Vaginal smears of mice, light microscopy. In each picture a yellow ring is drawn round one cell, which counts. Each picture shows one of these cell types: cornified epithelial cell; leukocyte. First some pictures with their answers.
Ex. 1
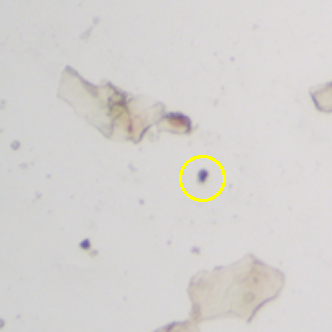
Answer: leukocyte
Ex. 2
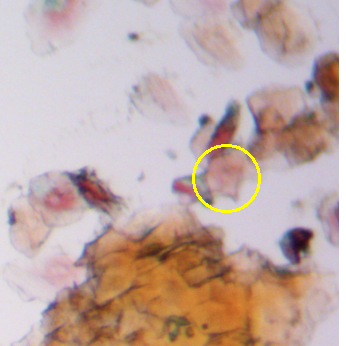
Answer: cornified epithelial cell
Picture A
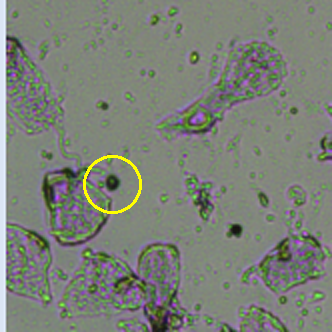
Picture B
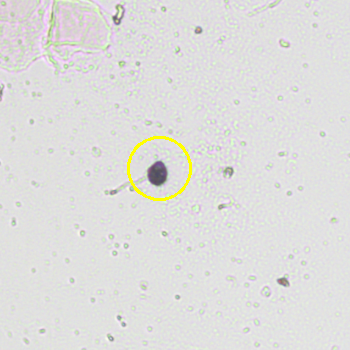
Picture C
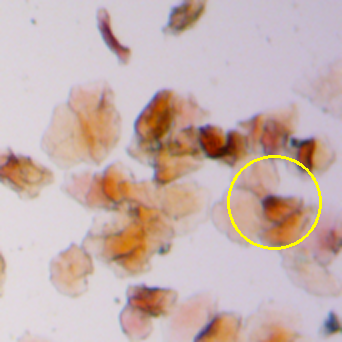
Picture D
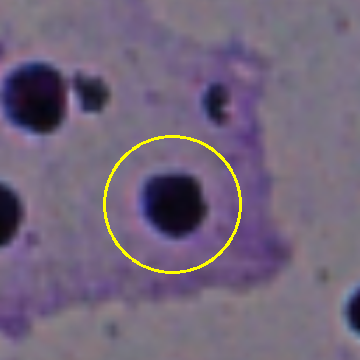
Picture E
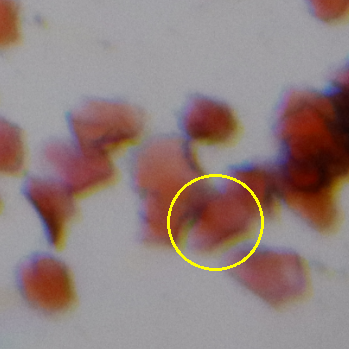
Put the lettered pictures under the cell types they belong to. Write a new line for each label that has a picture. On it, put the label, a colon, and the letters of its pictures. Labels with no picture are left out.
cornified epithelial cell: C, E
leukocyte: A, B, D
